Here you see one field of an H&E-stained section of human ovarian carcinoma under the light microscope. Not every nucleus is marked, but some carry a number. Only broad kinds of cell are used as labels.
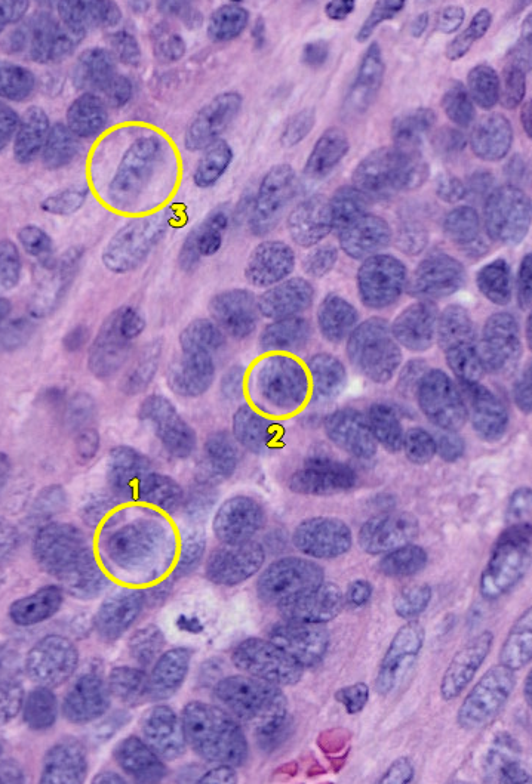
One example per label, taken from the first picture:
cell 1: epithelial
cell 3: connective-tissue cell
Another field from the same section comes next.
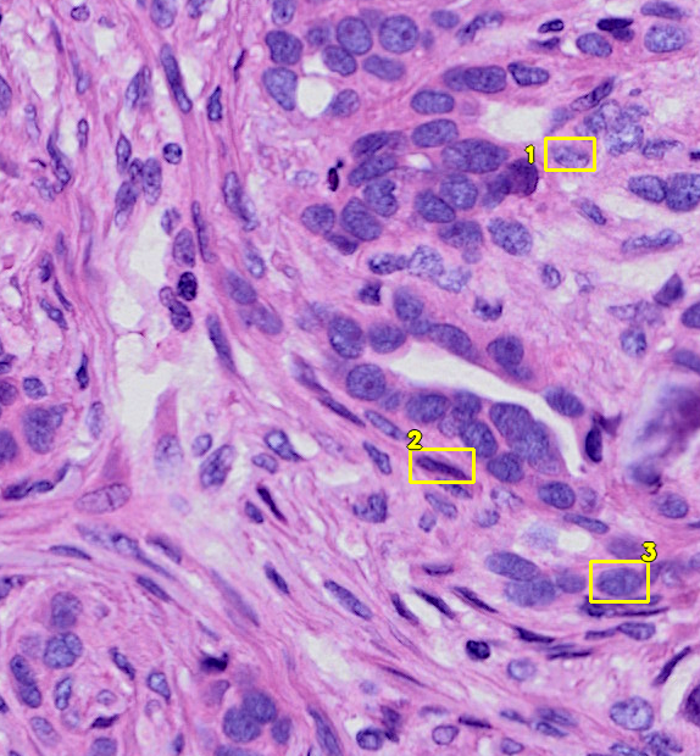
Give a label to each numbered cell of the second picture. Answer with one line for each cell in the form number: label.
1: connective-tissue cell
2: connective-tissue cell
3: epithelial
